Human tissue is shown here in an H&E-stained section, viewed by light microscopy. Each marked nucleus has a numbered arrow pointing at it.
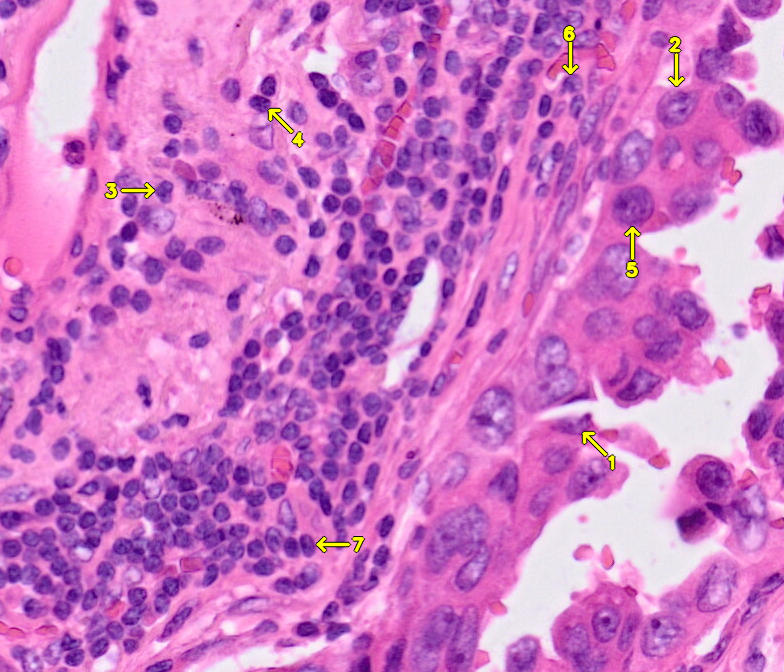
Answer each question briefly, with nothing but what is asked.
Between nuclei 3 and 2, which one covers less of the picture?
3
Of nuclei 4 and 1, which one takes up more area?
1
